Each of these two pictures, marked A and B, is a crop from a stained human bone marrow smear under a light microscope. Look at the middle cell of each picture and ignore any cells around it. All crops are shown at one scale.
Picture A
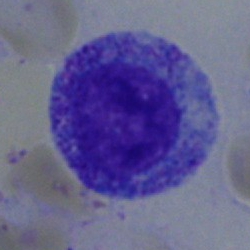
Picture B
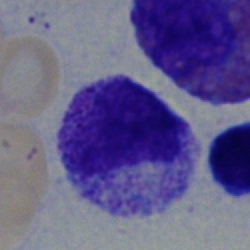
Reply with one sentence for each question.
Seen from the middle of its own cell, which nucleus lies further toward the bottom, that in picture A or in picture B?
Seen within its cell, the nucleus in picture A lies further toward the bottom.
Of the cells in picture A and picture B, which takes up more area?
Larger is the cell in picture A, at roughly 1.5 times the area of the other.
